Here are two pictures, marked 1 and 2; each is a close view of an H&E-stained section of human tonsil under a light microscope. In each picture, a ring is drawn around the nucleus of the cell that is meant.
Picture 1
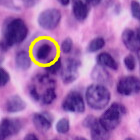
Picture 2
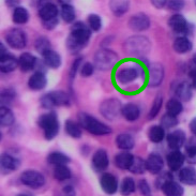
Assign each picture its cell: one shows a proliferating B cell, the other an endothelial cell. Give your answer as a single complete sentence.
The cell in picture 1 is a proliferating B cell, and the one in picture 2 is an endothelial cell.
